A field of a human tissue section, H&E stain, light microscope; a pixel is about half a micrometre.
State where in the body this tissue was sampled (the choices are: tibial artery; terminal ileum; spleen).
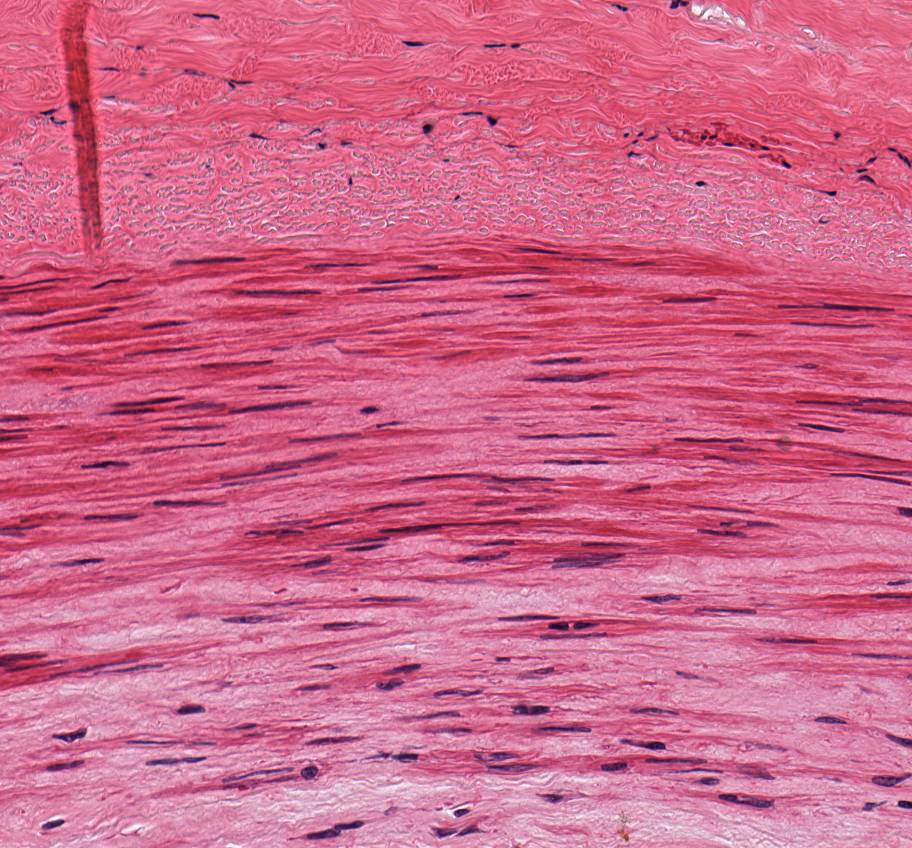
tibial artery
